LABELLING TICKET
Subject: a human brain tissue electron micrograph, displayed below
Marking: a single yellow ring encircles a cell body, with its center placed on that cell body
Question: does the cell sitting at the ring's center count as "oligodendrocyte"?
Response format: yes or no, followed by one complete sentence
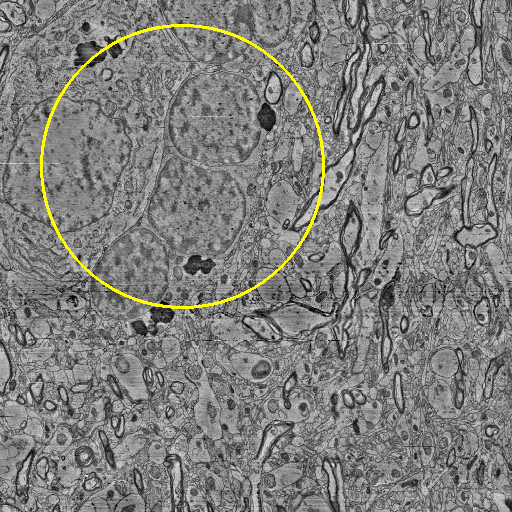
Yes, the cell at the center of the ring in the picture is of that kind.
